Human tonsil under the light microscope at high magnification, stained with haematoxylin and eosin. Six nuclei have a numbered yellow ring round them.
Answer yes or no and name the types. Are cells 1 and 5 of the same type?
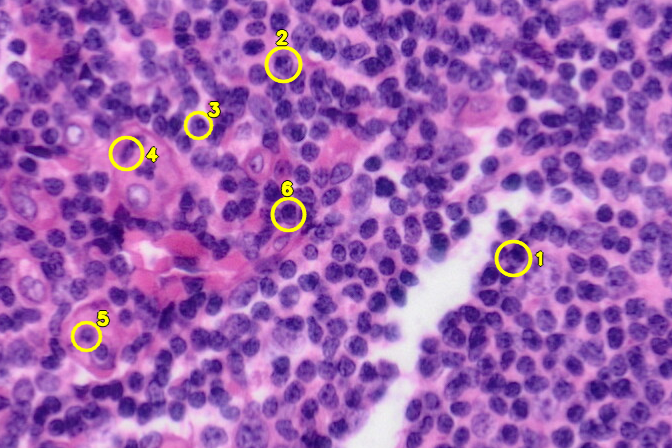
No, cell 1 is a small lymphocyte and cell 5 is an endothelial cell.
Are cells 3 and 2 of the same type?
Yes, both are small lymphocytes.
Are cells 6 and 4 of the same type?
No, cell 6 is a small lymphocyte and cell 4 is an endothelial cell.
